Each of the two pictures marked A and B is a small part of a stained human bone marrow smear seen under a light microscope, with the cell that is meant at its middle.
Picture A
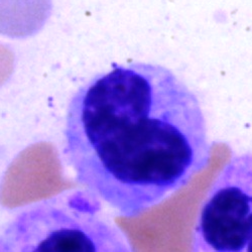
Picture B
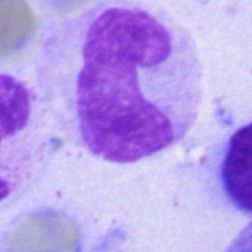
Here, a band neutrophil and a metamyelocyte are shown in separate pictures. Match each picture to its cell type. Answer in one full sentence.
In picture A the cell is a metamyelocyte; in picture B, a band neutrophil.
